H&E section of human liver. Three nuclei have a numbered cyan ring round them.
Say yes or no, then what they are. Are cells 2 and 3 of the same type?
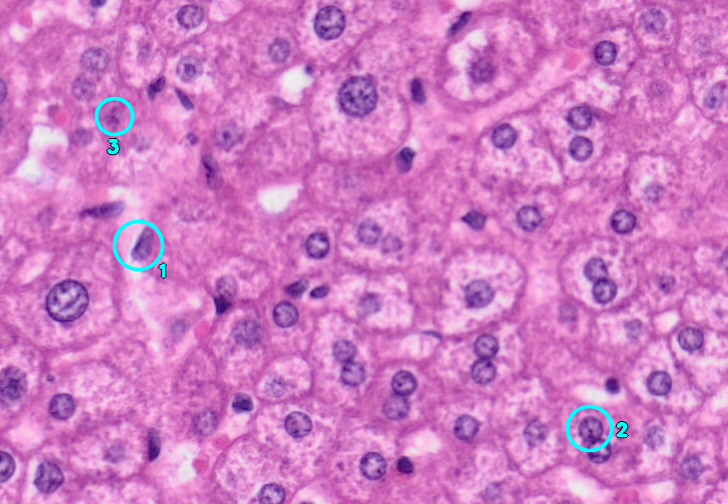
Yes, both are hepatocytes.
